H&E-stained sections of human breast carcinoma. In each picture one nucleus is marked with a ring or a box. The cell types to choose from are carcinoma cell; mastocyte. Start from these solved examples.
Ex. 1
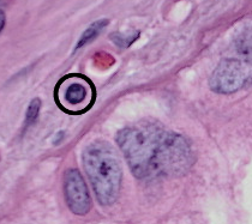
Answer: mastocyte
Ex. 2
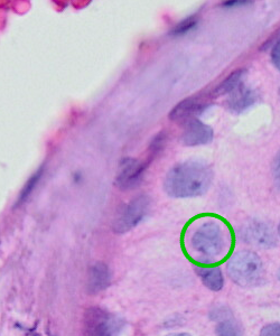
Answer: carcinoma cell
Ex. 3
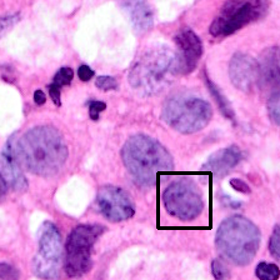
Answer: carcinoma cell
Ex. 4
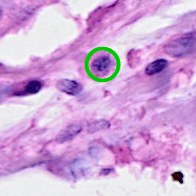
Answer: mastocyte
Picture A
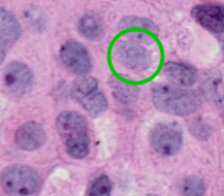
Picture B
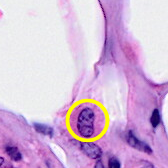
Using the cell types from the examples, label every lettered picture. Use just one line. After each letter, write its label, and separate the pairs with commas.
A carcinoma cell, B mastocyte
